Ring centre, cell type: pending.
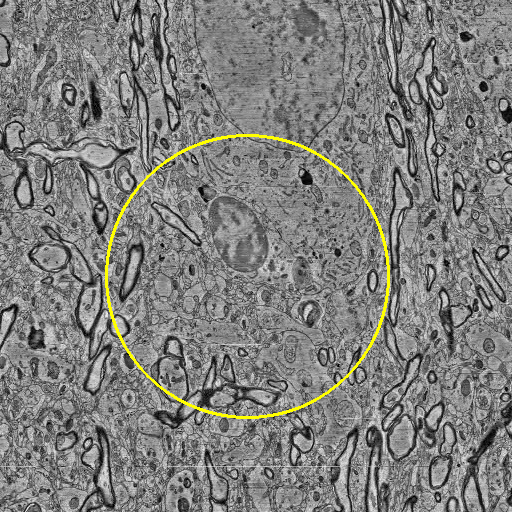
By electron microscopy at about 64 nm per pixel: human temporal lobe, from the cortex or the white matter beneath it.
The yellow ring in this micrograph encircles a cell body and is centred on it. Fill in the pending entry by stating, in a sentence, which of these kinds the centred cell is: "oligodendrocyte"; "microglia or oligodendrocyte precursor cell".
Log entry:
The centred cell is recorded as a microglial cell or oligodendrocyte precursor cell.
